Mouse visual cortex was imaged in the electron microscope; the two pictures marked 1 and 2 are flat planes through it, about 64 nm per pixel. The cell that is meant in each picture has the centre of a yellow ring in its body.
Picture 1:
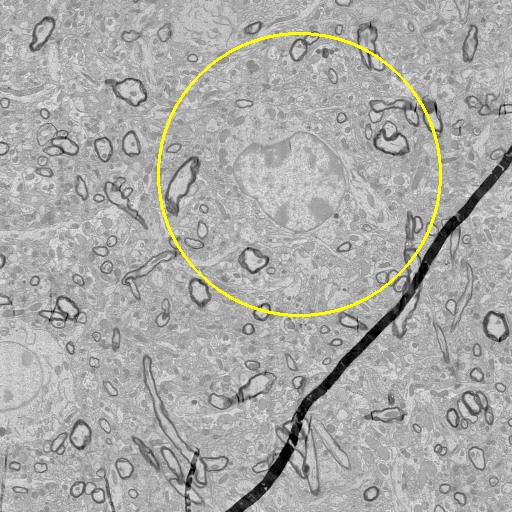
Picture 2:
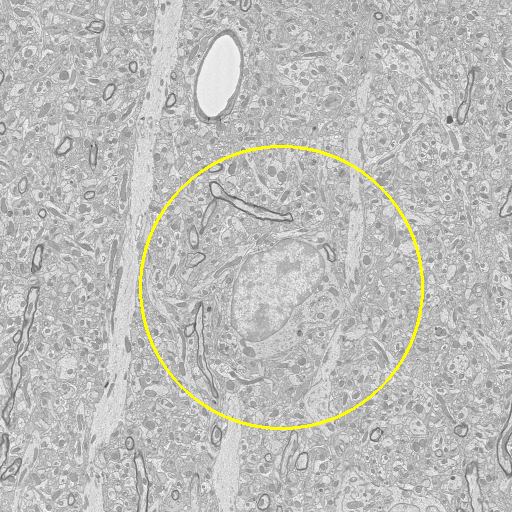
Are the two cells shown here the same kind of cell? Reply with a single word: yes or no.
yes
